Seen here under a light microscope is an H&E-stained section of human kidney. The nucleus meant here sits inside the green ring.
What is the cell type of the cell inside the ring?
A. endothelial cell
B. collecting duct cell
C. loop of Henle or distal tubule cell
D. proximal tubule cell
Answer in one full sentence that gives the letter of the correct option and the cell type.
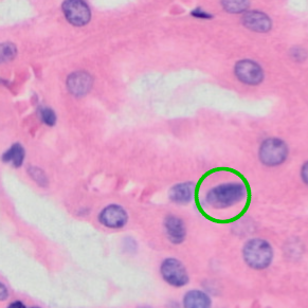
The item is answered by option A: the cell inside the ring is an endothelial cell.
